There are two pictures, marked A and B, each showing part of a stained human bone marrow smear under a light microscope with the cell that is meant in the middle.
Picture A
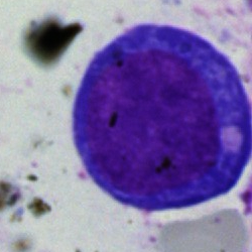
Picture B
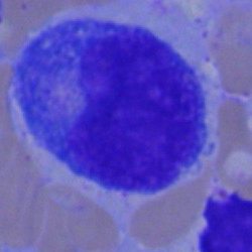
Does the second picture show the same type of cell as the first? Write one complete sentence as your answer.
No, they differ: the cell is a proerythroblast in picture A and a promyelocyte in picture B.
